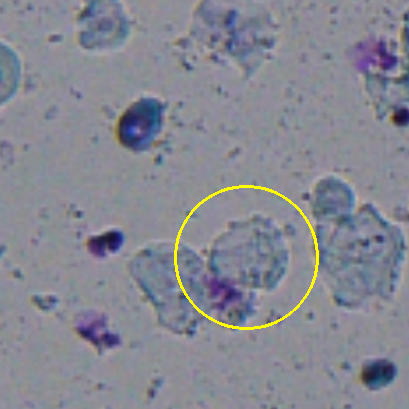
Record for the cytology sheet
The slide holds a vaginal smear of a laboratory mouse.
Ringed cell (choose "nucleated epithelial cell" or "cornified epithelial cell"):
cornified epithelial cell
